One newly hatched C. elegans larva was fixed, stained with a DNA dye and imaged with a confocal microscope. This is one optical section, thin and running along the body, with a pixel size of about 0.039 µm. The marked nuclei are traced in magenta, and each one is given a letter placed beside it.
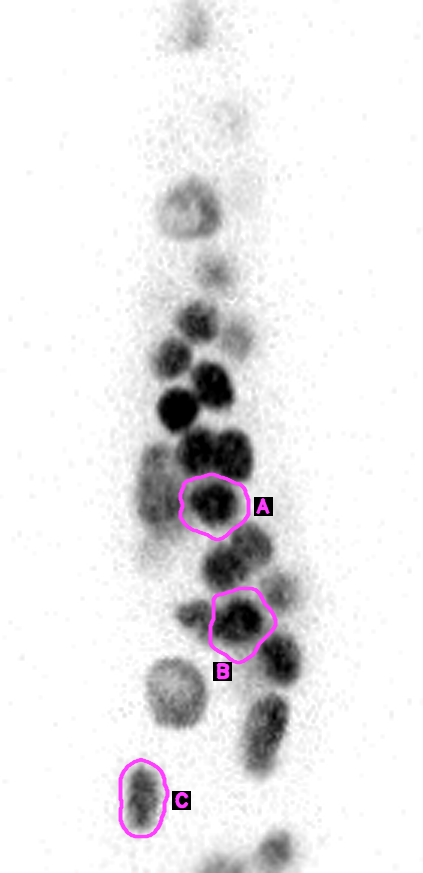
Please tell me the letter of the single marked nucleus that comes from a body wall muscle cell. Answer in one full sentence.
It is C that belongs to a body wall muscle cell.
